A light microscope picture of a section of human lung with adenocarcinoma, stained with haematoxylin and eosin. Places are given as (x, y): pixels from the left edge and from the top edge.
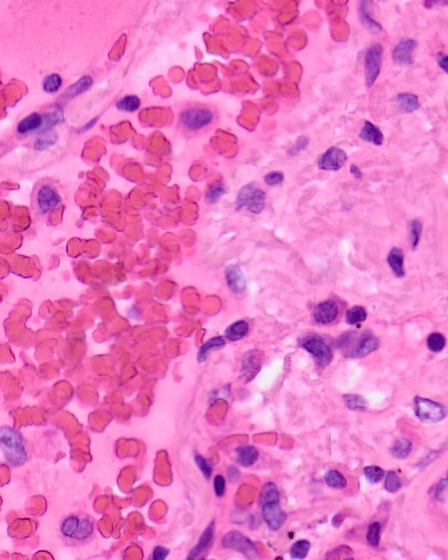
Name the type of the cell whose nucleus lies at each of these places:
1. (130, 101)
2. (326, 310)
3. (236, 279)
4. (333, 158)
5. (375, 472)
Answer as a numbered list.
1. type I pneumocyte
2. plasma cell
3. fibroblast
4. fibroblast
5. lymphocyte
